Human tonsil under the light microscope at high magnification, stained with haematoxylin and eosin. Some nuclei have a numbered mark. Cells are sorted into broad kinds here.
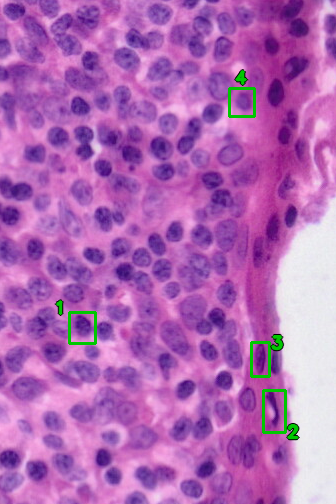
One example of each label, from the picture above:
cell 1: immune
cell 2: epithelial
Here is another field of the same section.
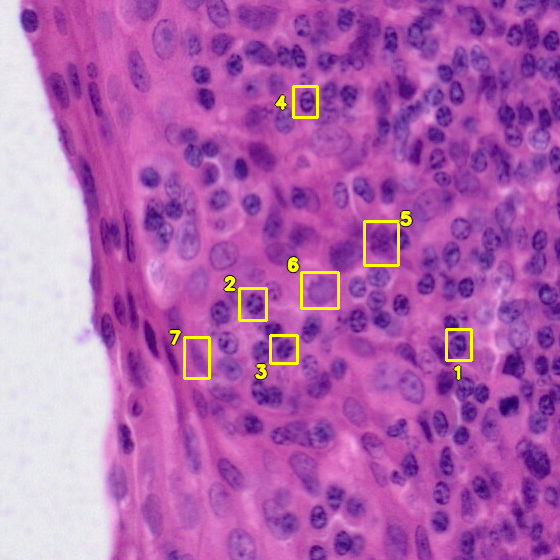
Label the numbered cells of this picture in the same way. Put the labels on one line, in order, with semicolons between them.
immune; immune; immune; immune; epithelial; epithelial; epithelial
